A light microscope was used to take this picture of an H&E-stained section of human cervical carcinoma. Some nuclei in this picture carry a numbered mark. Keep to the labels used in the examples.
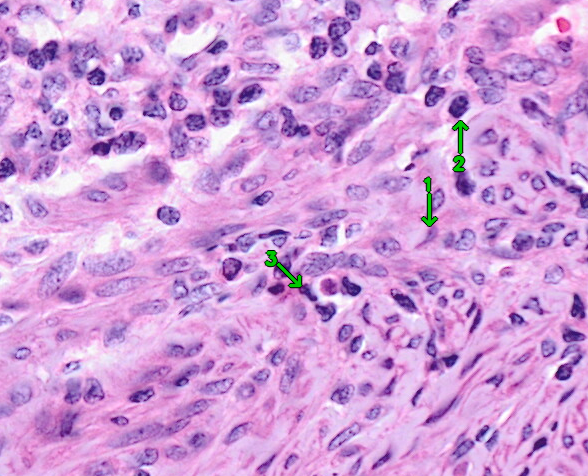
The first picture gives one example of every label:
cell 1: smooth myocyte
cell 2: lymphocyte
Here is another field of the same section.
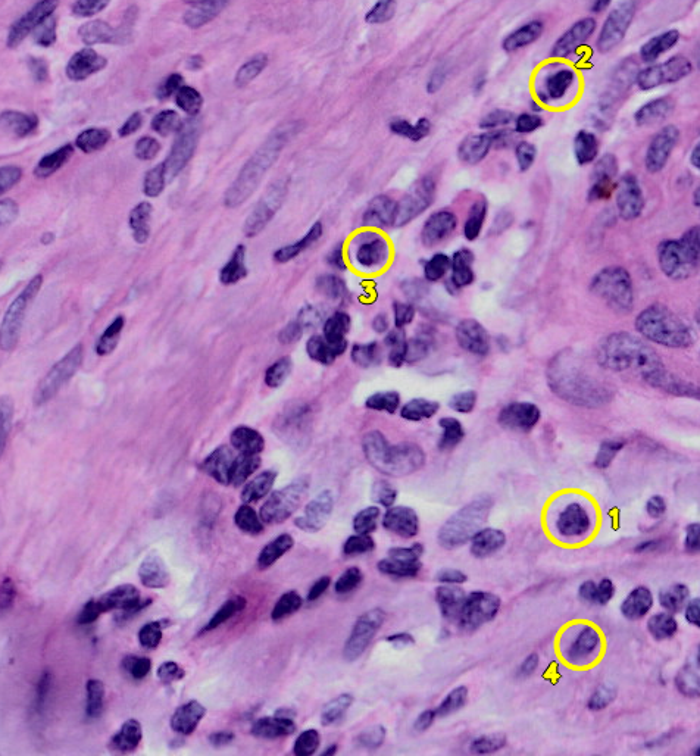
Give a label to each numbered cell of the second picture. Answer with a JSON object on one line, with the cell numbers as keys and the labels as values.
{"1": "lymphocyte", "2": "lymphocyte", "3": "lymphocyte", "4": "smooth myocyte"}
